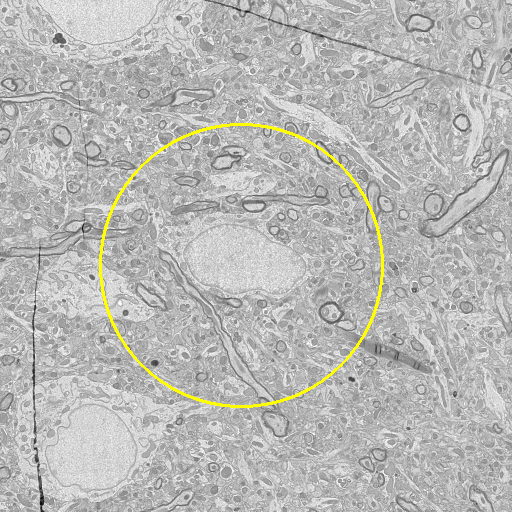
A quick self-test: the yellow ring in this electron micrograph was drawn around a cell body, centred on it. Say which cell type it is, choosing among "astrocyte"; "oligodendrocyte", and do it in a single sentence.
The yellow-ringed cell is an astrocyte.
